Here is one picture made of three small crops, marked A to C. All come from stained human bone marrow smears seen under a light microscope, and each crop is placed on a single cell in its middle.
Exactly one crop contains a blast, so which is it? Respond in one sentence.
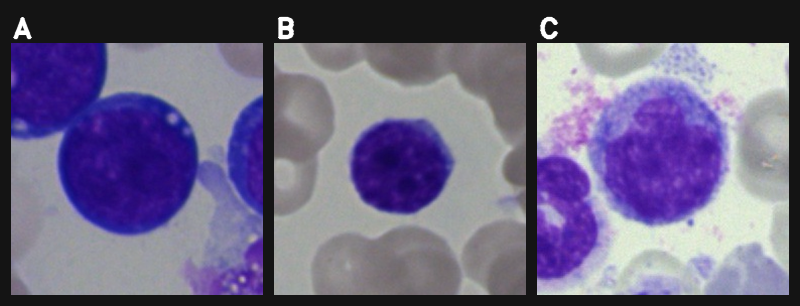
It is crop A that shows a blast.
